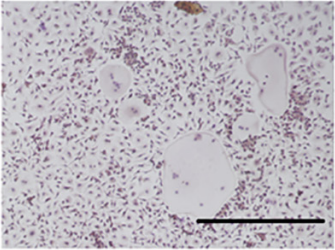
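A confluent layer of small spindle-shaped and rounded cells with purple-stained nuclei covers the field. Darker purple small cells accumulate in patches near these giant cells.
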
